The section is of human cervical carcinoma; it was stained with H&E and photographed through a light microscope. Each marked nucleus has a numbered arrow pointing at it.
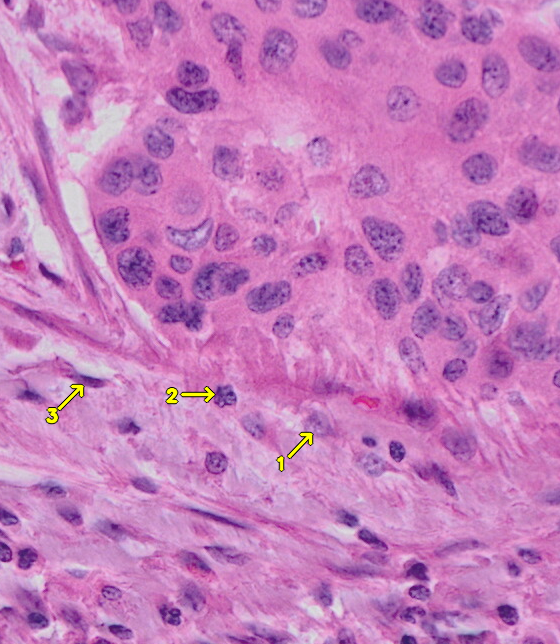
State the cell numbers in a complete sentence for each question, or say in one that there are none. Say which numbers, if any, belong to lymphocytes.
Cell 2 is a lymphocyte, while all remaining marked cells are of other types.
